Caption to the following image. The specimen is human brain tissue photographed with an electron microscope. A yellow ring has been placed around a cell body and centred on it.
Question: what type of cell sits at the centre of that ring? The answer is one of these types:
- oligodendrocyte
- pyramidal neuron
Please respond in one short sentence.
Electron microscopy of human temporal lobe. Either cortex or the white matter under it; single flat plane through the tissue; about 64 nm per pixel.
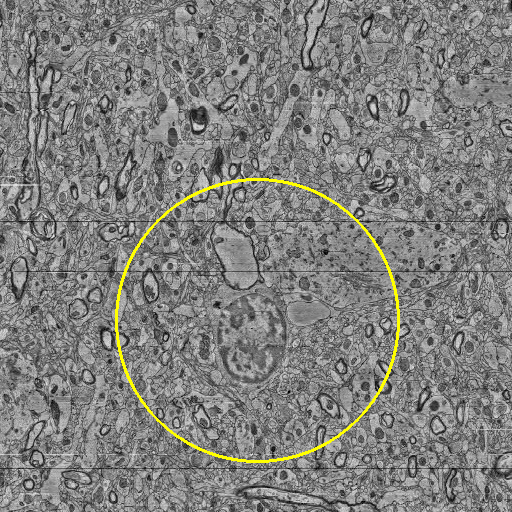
The ring surrounds the cell body of an oligodendrocyte.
